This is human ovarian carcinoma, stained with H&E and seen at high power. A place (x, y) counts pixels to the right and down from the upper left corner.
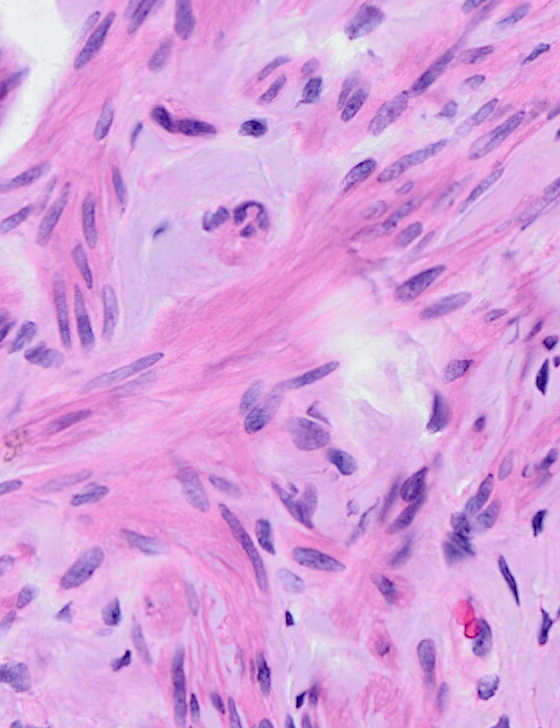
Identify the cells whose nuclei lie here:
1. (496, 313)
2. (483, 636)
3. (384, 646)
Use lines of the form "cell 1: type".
cell 1: smooth muscle cell
cell 2: endothelial cell
cell 3: smooth muscle cell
